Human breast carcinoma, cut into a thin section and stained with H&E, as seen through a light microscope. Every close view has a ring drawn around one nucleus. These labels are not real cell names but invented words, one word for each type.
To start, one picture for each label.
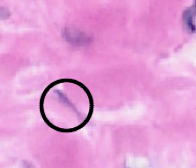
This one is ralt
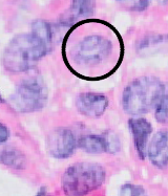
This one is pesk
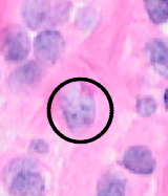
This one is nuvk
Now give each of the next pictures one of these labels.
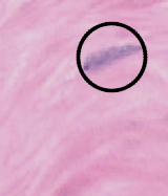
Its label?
ralt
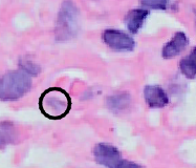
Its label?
nuvk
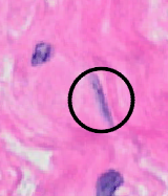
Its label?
ralt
